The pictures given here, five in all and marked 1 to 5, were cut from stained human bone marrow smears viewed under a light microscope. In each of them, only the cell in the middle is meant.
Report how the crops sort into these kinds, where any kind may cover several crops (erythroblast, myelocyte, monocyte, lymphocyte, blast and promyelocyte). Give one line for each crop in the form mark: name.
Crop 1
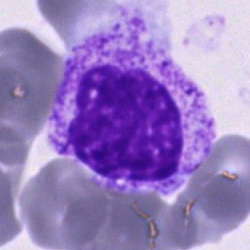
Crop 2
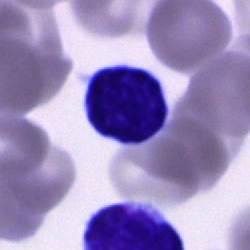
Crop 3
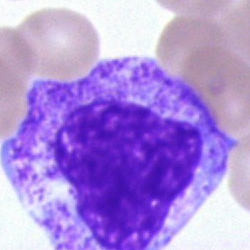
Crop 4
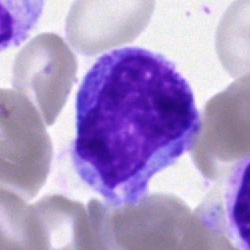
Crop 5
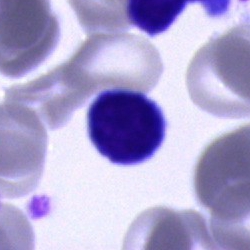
1: myelocyte
2: lymphocyte
3: myelocyte
4: lymphocyte
5: lymphocyte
